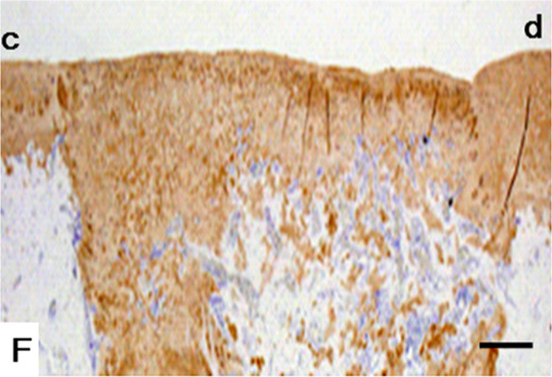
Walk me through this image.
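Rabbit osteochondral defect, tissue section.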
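A thick band of brown-stained matrix runs continuously across the whole surface, from one edge of the section to the other. At the right, a vertical boundary marks where the filling tissue meets the neighbouring cartilage, which is also stained brown. Deeper down, the brown tissue becomes patchy and is mixed with paler areas holding many small blue nuclei. A few thin dark lines run vertically through the matrix.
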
